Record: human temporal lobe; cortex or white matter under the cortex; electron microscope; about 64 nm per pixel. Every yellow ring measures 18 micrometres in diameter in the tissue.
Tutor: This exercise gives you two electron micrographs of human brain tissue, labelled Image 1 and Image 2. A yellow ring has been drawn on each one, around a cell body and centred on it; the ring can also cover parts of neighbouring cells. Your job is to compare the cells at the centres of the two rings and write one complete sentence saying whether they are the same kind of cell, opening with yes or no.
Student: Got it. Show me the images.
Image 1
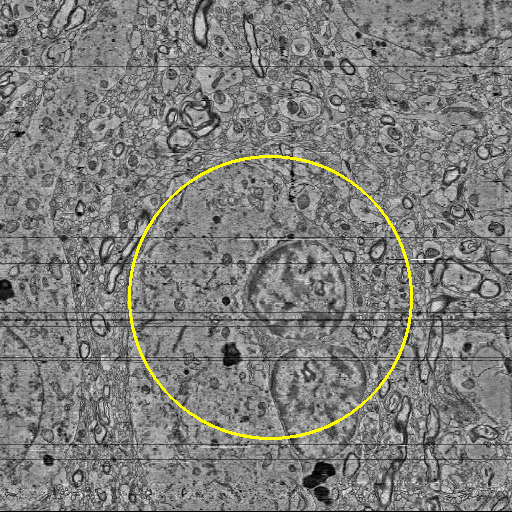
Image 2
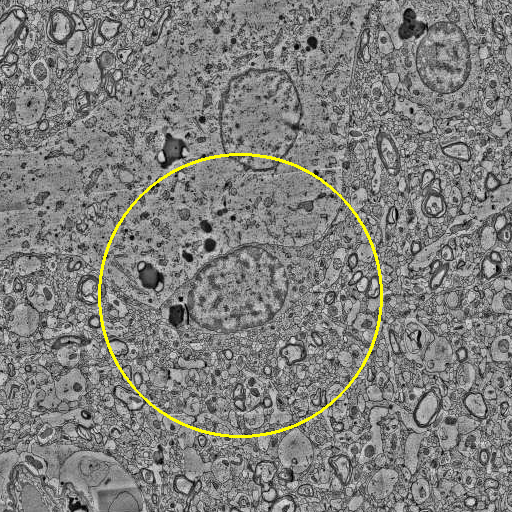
Yes, the two cells belong to the same kind.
